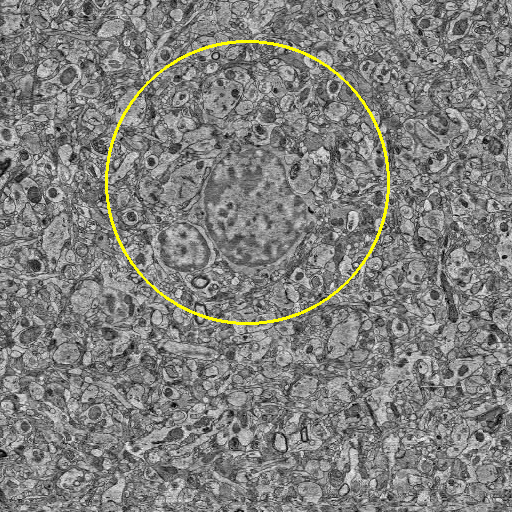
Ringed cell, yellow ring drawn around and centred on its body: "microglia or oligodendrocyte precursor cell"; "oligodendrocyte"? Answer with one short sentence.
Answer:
This ringed cell is an oligodendrocyte.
